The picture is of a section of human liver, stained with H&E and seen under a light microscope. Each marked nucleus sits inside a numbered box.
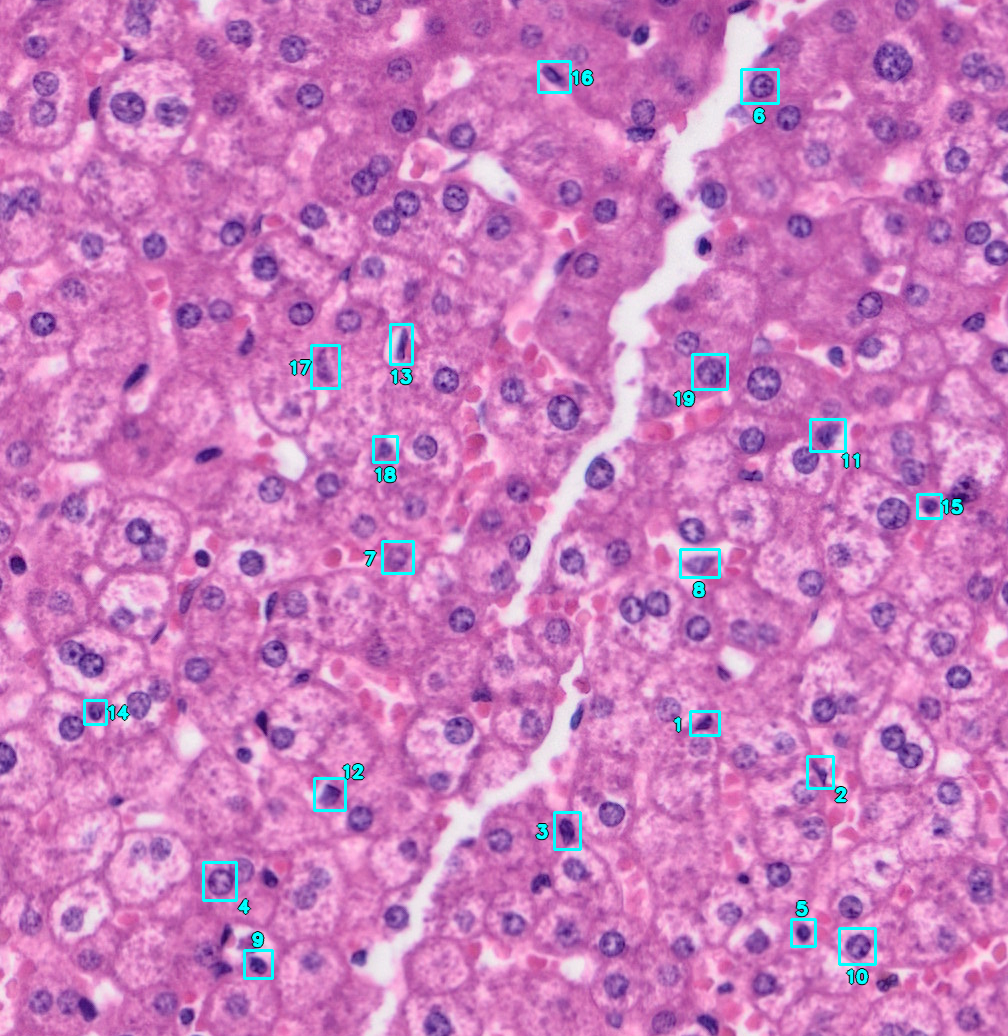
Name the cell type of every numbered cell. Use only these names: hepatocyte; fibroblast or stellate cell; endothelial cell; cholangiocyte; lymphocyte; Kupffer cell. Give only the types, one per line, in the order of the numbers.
fibroblast or stellate cell
endothelial cell
fibroblast or stellate cell
hepatocyte
lymphocyte
hepatocyte
hepatocyte
Kupffer cell
lymphocyte
hepatocyte
endothelial cell
endothelial cell
endothelial cell
Kupffer cell
lymphocyte
fibroblast or stellate cell
endothelial cell
lymphocyte
hepatocyte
